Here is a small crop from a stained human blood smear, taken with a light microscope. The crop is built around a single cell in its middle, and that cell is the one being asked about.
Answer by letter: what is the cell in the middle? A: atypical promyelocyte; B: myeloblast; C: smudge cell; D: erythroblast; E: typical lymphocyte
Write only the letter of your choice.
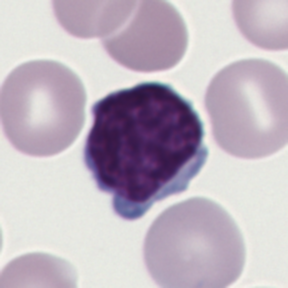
E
